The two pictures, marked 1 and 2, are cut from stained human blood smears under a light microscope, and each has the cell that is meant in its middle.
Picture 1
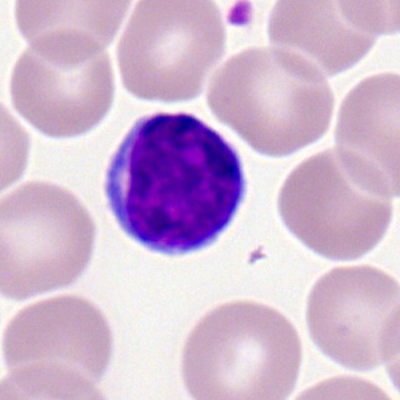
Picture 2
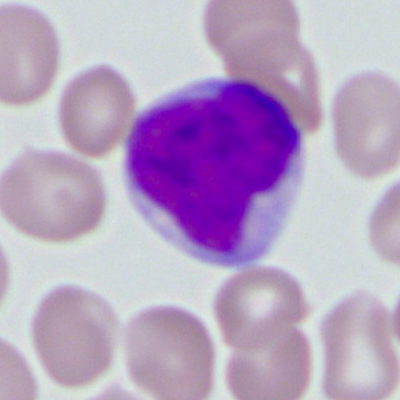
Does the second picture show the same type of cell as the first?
no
